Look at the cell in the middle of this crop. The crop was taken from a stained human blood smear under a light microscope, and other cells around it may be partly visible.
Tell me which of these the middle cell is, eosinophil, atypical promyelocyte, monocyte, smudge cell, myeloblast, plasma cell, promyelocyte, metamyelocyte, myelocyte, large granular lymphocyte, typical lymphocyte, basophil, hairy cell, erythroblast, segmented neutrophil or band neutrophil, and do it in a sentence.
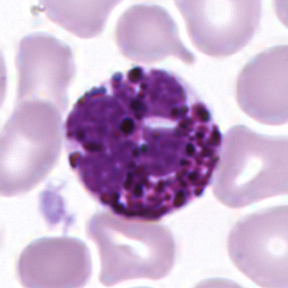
The cell found in the middle of this crop is a basophil.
